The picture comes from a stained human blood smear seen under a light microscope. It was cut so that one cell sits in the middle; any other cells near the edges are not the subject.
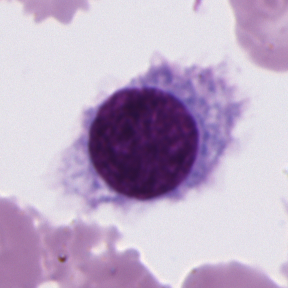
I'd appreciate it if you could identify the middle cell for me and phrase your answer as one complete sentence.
The centered cell in this crop is a hairy cell.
